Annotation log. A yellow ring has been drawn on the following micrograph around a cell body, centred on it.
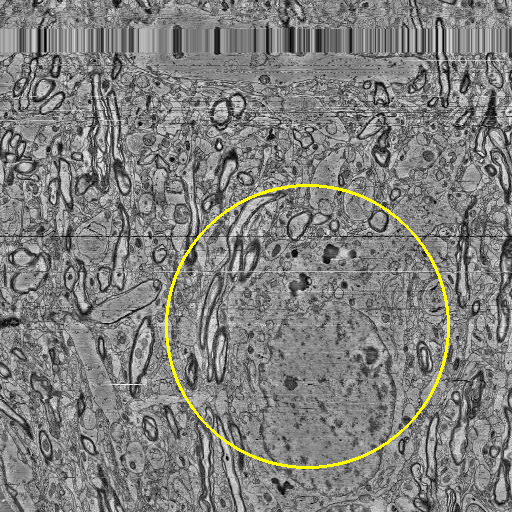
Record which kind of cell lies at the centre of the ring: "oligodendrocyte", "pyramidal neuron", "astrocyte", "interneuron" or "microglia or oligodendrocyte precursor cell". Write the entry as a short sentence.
The cell the ring is centred on is an interneuron.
